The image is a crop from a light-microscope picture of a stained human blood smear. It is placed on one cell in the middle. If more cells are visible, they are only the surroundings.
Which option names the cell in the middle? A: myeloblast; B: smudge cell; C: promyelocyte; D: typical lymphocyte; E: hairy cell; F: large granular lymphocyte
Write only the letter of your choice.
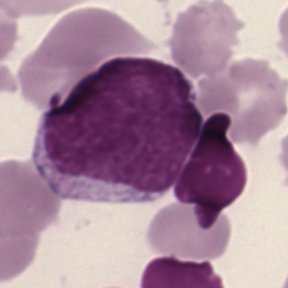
A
